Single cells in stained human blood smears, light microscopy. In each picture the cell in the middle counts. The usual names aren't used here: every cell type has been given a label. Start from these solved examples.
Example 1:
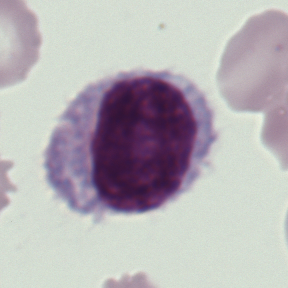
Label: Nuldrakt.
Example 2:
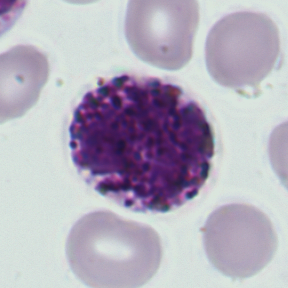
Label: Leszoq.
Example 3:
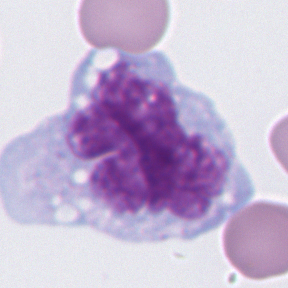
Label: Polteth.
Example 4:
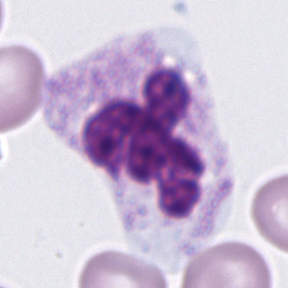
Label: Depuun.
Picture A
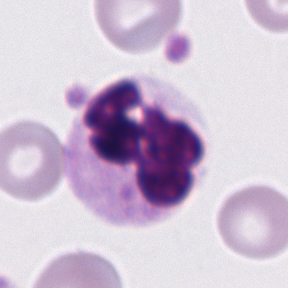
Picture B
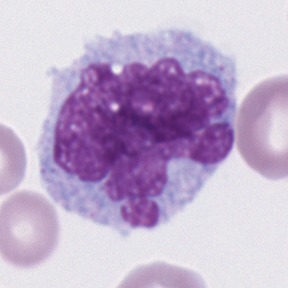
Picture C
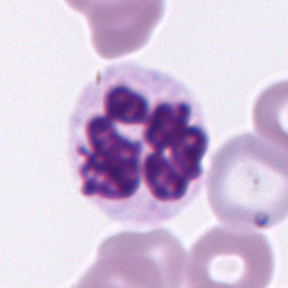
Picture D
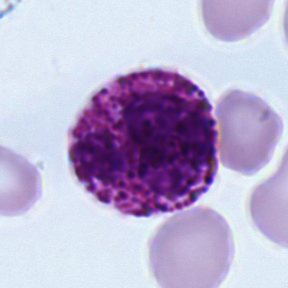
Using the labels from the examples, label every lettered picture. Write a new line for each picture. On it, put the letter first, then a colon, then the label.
A: Depuun.
B: Polteth.
C: Depuun.
D: Leszoq.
